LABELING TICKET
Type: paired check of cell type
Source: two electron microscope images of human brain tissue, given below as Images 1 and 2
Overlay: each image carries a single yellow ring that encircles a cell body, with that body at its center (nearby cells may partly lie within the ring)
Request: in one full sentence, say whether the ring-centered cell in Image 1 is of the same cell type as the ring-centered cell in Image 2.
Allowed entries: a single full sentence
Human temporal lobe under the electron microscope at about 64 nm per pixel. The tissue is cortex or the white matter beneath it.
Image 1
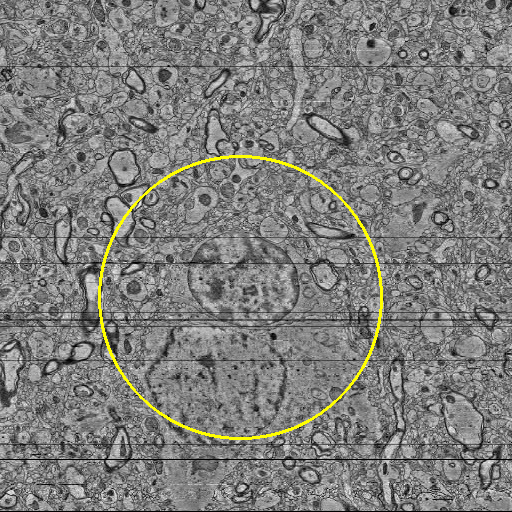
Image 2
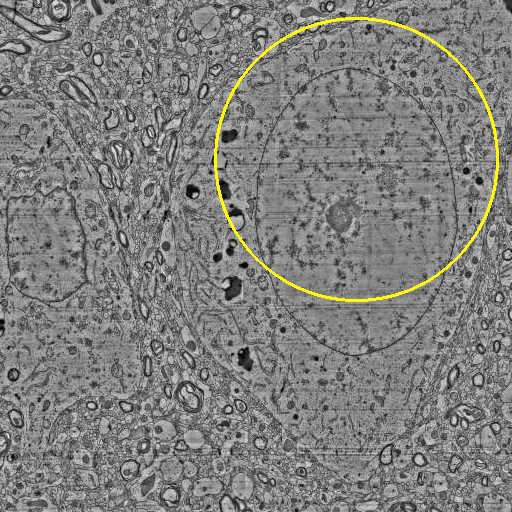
No, the cells centered in the rings of Image 1 and Image 2 are of two types.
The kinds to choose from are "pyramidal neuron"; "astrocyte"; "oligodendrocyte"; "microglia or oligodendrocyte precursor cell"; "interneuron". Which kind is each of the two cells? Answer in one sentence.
Of the two, the first cell is an oligodendrocyte and the second cell is a pyramidal neuron.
